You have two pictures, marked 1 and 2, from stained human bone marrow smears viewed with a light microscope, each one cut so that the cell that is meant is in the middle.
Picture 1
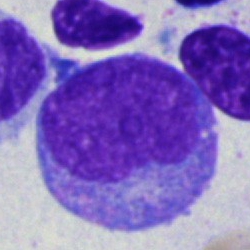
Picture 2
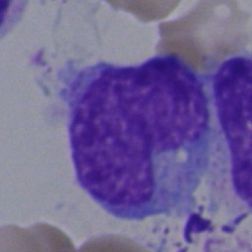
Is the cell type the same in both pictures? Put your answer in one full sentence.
No. Picture 1 shows a promyelocyte, but picture 2 shows a monocyte.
